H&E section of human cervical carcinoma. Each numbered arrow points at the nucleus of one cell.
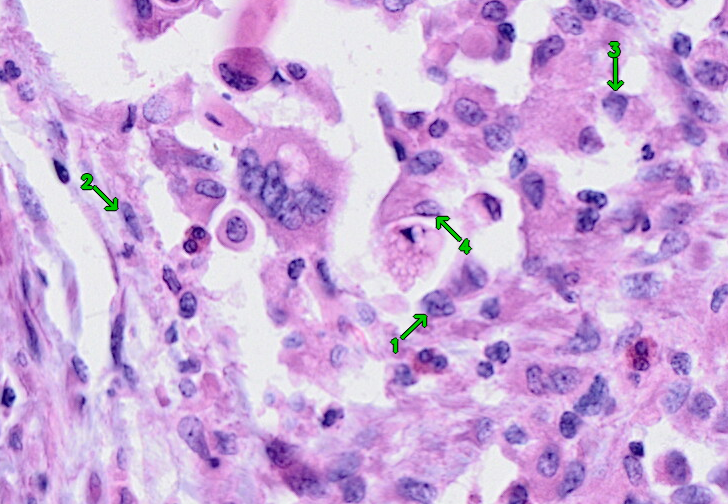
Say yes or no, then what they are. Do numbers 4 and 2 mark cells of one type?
No, cell 4 is a macrophage or monocyte, with cell 2 being a fibroblast.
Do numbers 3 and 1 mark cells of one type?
Yes, each of the two cells, 3 and 1, is among the macrophages or monocytes.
